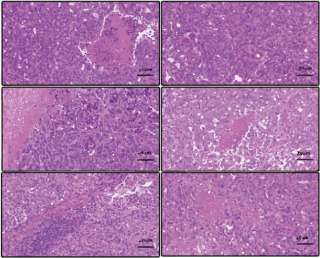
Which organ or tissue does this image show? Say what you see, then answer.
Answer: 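Sheets of densely packed cells with dark purple nuclei. No normal glandular or layered organization is visible. That points to this answer: tumour tissue.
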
